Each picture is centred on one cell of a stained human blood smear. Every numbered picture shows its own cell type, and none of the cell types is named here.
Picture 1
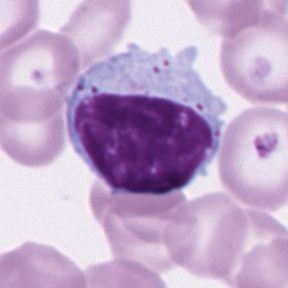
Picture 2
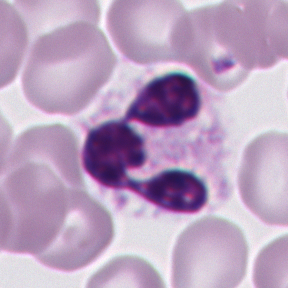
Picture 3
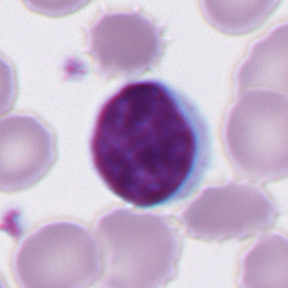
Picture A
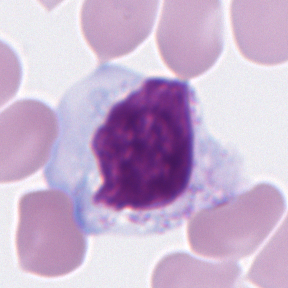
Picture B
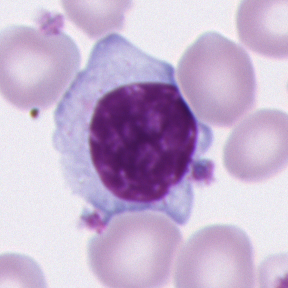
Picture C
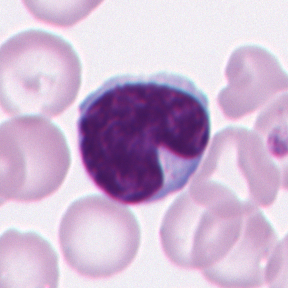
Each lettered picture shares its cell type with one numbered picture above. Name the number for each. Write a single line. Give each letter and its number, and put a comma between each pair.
A 1, B 3, C 3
